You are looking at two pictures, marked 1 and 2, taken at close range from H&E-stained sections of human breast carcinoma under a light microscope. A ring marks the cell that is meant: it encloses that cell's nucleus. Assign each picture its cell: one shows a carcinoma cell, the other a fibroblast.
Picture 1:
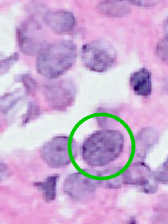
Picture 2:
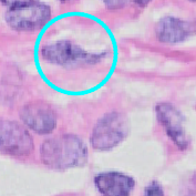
1: carcinoma cell
2: fibroblast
